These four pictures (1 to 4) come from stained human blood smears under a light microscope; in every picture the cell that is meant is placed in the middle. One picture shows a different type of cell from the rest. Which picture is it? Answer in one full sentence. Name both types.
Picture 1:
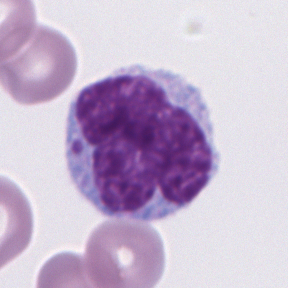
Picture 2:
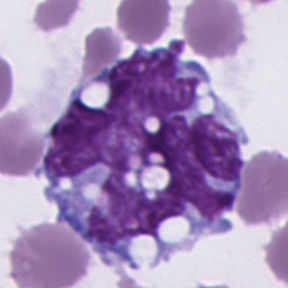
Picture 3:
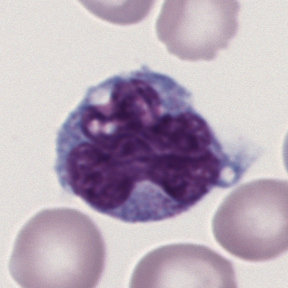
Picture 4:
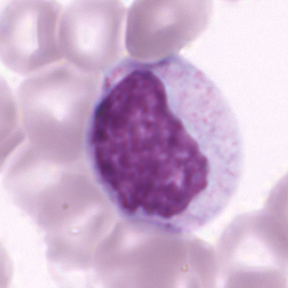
The different one is picture 4; it shows a myelocyte, whereas all the others show monocytes.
